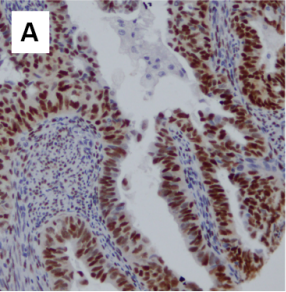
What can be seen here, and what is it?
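Glandular epithelium arranged as branching papillary and gland-like structures with fibrovascular stromal cores, separated by pale empty lumens. The lining cells form a crowded, partly stratified layer of columnar cells whose elongated oval nuclei are stained strongly brown, standing perpendicular to the surface. The cytoplasm is pale and scant. The stromal cores contain smaller spindle and round nuclei, many counterstained blue and some lightly brown. Within a lumen lies a loose cluster of pale cells and debris.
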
